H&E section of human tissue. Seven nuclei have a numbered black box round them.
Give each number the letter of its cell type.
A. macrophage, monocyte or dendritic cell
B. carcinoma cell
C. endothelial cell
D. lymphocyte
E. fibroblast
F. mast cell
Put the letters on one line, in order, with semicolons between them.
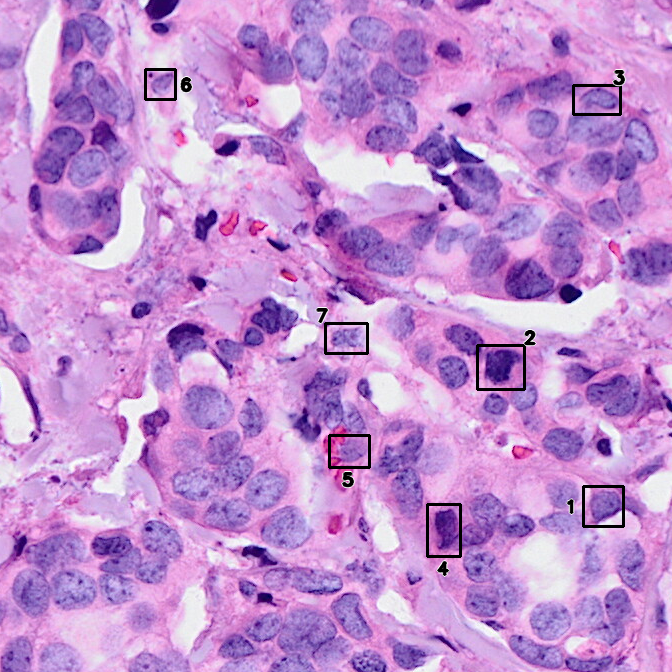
B; B; B; B; C; A; A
